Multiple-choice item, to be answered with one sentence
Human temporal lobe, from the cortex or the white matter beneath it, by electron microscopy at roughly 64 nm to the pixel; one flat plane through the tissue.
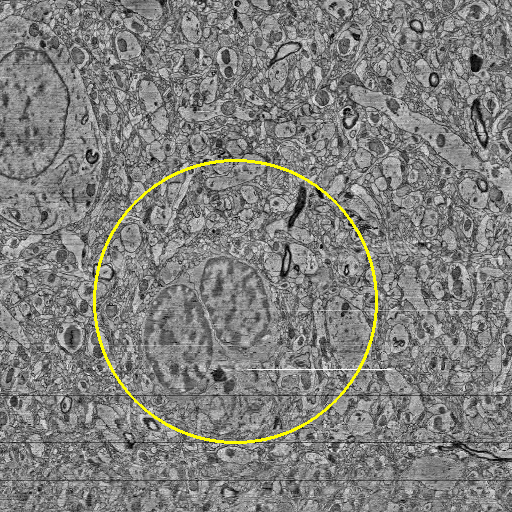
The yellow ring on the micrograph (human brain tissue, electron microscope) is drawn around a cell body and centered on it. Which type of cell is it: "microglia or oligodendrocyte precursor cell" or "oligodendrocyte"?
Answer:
The ring is centered on an oligodendrocyte.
